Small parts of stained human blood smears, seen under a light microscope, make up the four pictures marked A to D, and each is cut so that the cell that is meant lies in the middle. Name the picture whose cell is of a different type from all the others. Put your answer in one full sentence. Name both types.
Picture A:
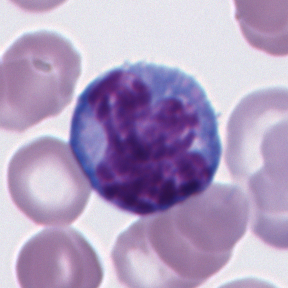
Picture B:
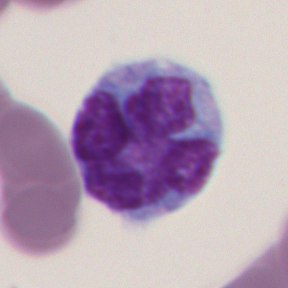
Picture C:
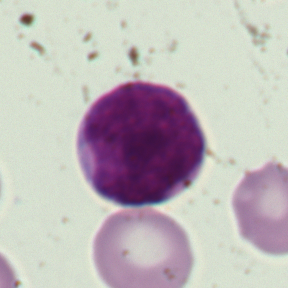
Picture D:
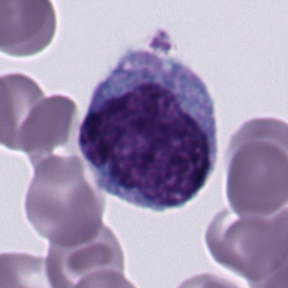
All pictures except C show monocytes; picture C shows a myeloblast.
